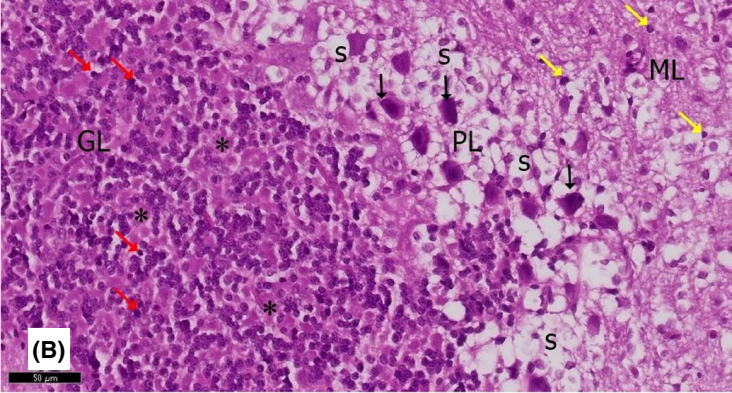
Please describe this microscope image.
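This cerebellar cortex looks badly disturbed. The Purkinje cell zone in the middle is broken up by many clear, empty vacuoles giving a spongy look, and the Purkinje cells within it are dark, angular and shrunken rather than smooth flask shapes, no longer forming a neat row. The molecular layer to the right is pale and loose, with scattered cells bearing small, dark, condensed nuclei.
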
